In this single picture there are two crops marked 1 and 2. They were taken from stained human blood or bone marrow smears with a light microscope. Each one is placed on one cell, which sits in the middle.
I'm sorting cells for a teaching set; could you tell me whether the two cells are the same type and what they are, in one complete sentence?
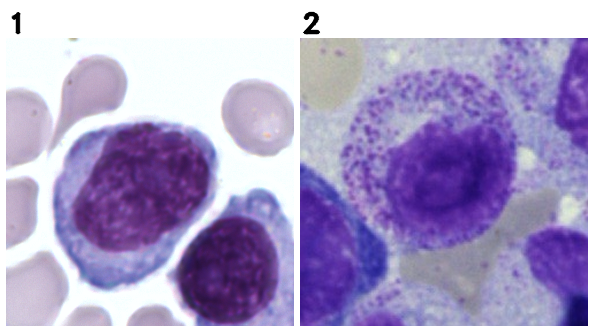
No, crop 1 and crop 2 show a plasma cell and a myelocyte respectively.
